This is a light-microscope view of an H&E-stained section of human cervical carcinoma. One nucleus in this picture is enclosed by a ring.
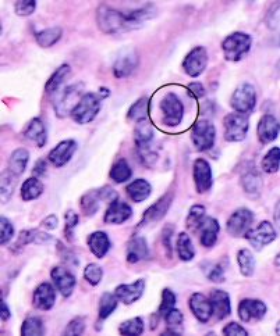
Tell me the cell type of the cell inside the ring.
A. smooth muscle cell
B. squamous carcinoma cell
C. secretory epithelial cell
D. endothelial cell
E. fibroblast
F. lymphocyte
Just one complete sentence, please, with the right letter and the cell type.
The accurate option is F, with the cell inside the ring being a lymphocyte.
